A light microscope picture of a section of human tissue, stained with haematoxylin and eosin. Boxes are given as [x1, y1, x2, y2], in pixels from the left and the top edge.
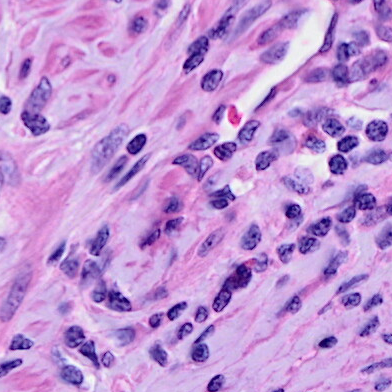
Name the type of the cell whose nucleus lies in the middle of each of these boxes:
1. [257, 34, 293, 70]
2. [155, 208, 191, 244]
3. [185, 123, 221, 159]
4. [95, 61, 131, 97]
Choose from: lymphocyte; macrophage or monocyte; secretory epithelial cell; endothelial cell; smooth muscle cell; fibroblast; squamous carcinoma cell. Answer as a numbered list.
1. endothelial cell
2. endothelial cell
3. endothelial cell
4. smooth muscle cell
